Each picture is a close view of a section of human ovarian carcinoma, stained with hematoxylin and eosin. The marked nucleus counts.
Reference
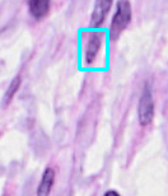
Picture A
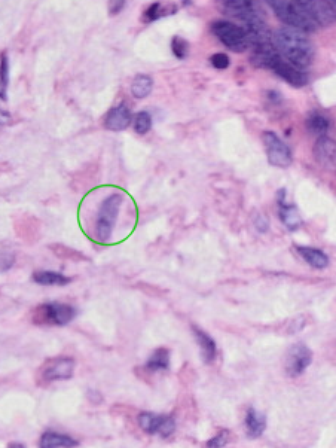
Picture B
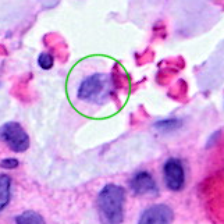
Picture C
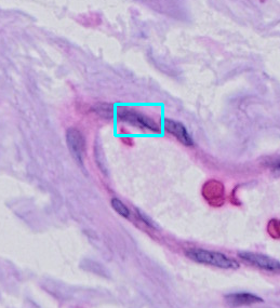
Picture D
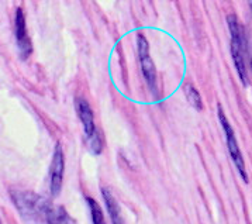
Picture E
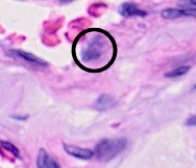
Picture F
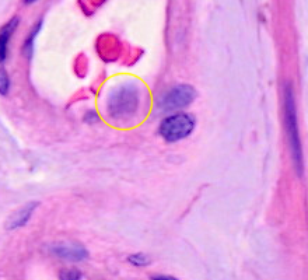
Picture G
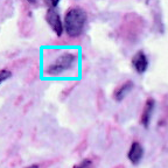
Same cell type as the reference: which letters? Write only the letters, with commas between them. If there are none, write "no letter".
A, D, G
